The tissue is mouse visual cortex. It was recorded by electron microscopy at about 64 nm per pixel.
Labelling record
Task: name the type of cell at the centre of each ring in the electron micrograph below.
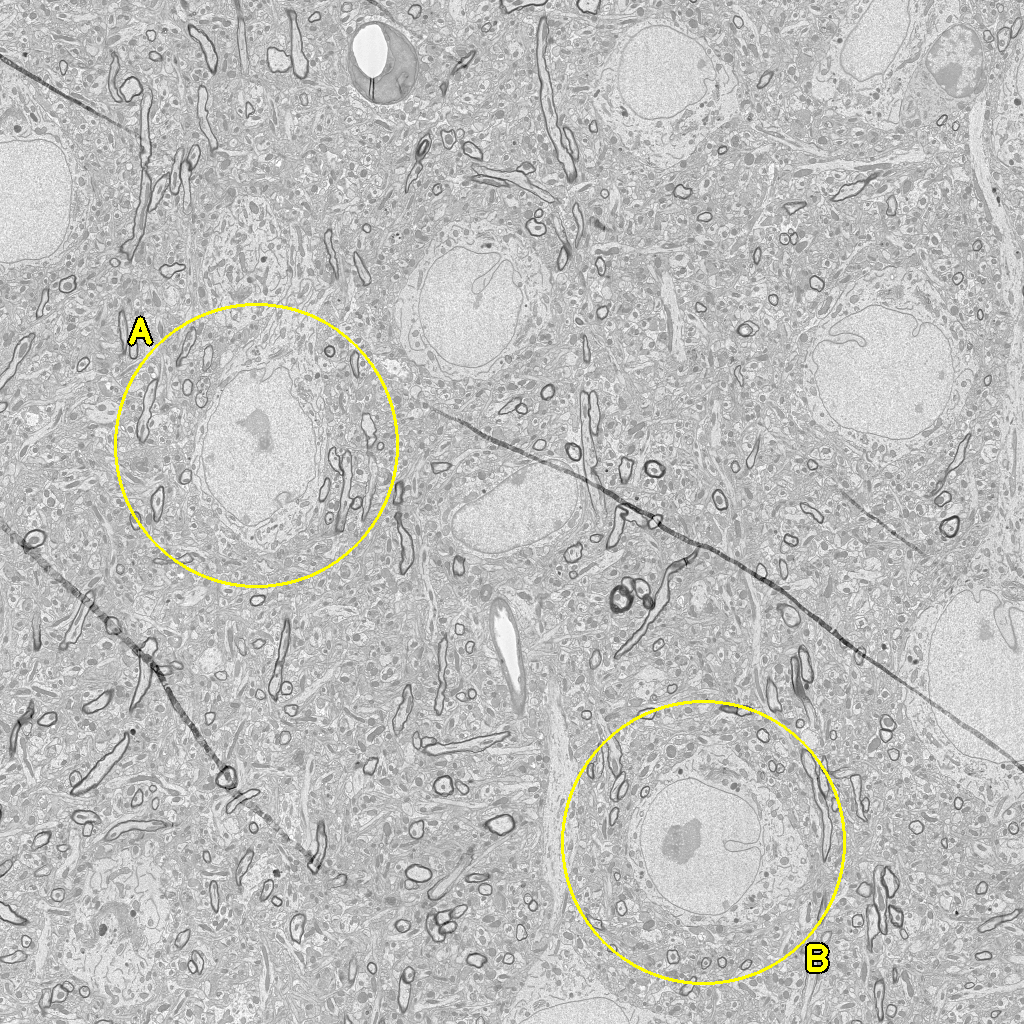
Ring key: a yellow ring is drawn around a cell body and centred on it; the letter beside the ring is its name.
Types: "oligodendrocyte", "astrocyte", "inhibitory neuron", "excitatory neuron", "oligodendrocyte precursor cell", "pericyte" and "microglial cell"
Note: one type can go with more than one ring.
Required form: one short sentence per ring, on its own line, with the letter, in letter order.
In ring A, the centred cell is an inhibitory neuron.
In ring B, the centred cell is an excitatory neuron.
